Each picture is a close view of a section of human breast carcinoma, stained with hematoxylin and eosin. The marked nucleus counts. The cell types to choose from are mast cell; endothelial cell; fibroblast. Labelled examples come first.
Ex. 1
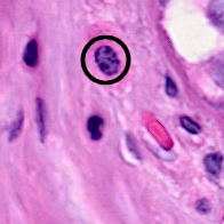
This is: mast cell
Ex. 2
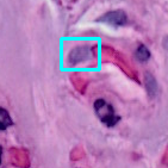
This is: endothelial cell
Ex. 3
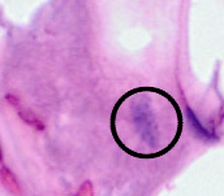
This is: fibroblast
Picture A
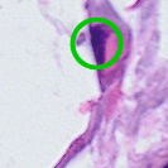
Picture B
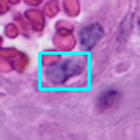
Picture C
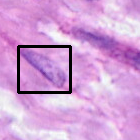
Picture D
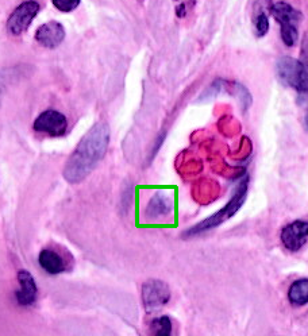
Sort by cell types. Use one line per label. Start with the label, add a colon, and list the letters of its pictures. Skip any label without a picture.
endothelial cell: A, B, D
fibroblast: C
